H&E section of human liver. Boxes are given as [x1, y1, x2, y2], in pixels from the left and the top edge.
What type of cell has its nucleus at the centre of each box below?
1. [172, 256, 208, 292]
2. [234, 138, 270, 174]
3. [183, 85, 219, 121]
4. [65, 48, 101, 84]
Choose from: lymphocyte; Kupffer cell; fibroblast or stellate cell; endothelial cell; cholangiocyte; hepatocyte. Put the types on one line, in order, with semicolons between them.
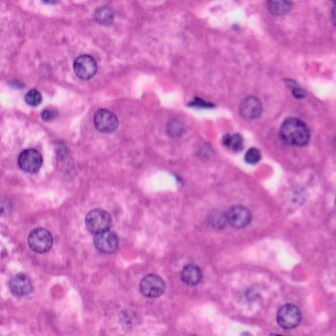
hepatocyte; lymphocyte; endothelial cell; hepatocyte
